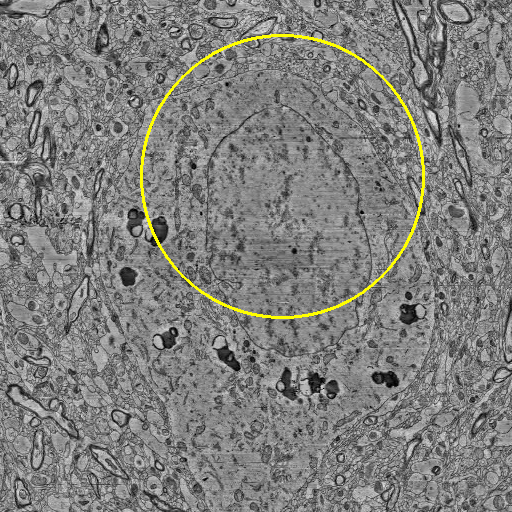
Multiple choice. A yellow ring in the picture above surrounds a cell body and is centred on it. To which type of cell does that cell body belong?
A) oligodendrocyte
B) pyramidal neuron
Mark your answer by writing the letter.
B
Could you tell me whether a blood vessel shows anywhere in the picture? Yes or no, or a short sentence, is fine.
No.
